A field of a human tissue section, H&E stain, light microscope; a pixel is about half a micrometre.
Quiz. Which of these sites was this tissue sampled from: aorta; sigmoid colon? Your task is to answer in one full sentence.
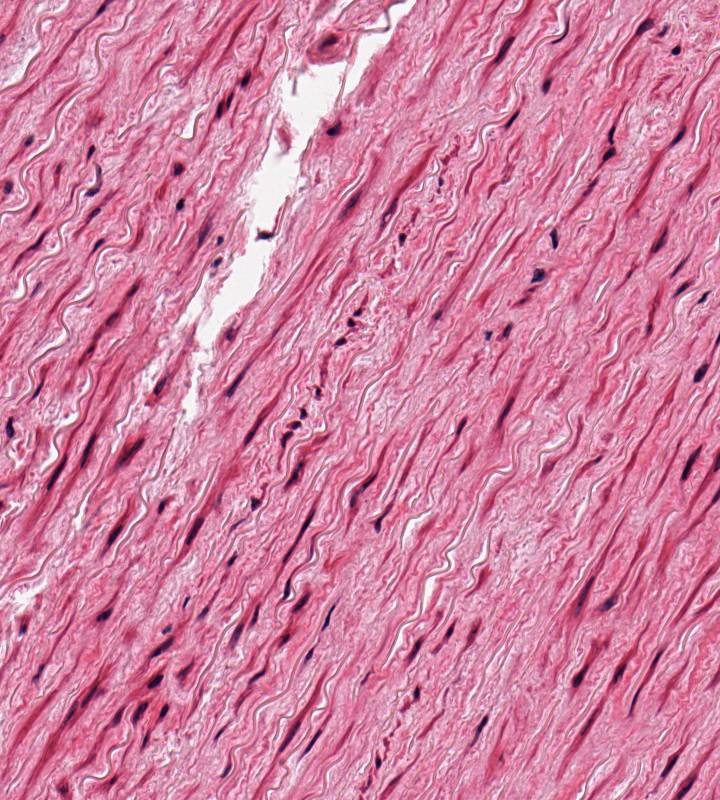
The source of this tissue sample is the aorta.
